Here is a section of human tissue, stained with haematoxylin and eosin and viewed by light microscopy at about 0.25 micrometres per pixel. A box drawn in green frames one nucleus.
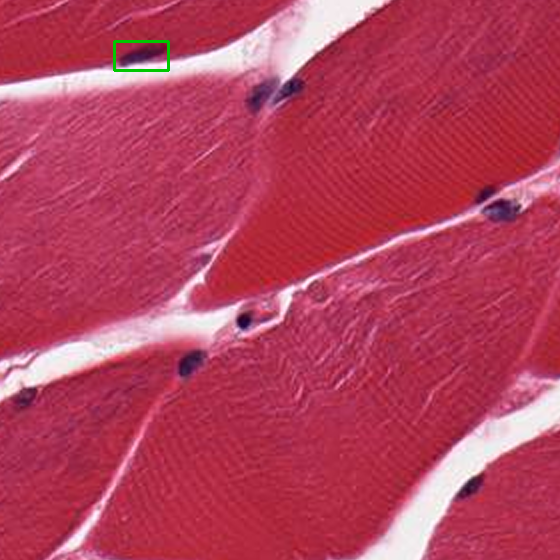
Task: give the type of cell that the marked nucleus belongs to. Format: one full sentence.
The marked nucleus is housed in a skeletal muscle fibre.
